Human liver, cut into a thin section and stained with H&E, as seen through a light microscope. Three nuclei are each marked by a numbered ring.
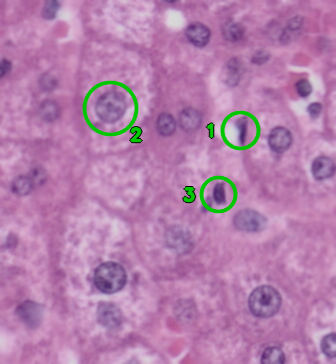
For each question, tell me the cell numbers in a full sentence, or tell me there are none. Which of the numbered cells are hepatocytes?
It is cell 2, and no other numbered cell, that is a hepatocyte.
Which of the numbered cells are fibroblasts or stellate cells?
Only the cell numbered 3 qualifies as a fibroblast or stellate cell among the marked cells.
